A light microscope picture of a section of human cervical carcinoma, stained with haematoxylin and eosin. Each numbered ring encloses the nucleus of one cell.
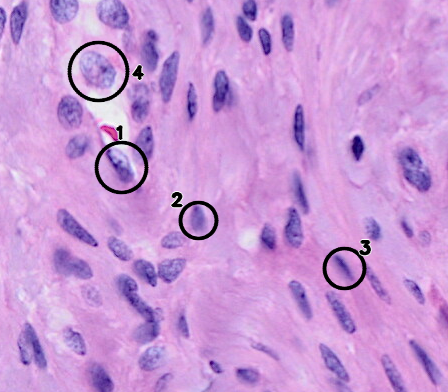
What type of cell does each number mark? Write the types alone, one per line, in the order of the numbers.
endothelial cell
fibroblast
fibroblast
endothelial cell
